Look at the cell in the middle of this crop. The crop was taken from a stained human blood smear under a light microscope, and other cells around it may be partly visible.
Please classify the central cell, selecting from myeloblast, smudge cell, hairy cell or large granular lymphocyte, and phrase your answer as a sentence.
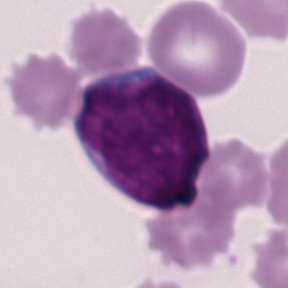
The central element of this crop is a cell, namely a myeloblast.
